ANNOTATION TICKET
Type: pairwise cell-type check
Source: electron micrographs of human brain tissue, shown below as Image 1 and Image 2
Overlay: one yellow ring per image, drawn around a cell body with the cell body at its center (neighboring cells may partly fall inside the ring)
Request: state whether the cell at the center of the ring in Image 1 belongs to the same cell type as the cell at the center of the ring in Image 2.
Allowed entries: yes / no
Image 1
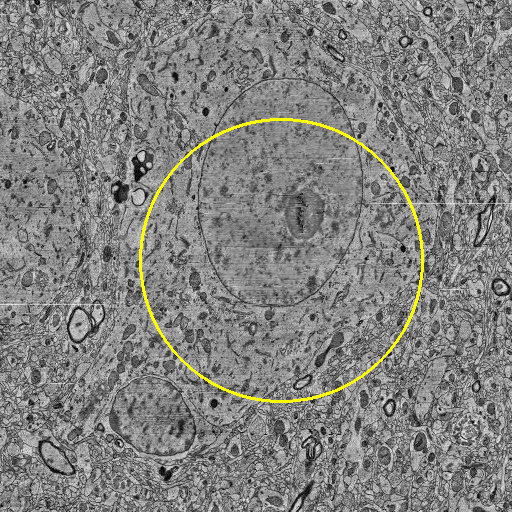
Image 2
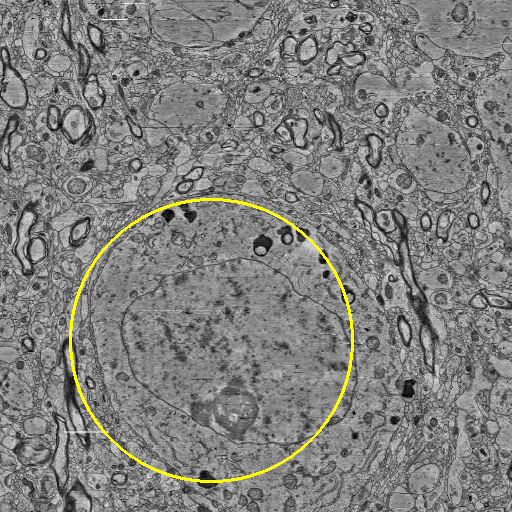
yes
